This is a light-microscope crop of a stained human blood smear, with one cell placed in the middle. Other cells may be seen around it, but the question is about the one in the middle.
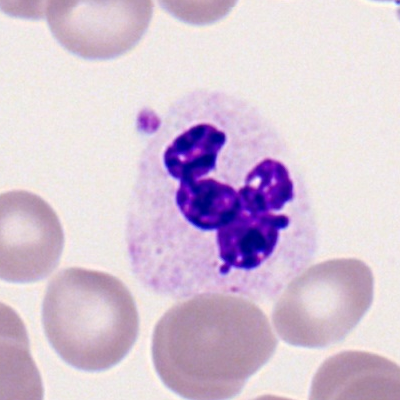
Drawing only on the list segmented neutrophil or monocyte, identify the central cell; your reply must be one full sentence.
The cell marked by its central position in the crop is a segmented neutrophil.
